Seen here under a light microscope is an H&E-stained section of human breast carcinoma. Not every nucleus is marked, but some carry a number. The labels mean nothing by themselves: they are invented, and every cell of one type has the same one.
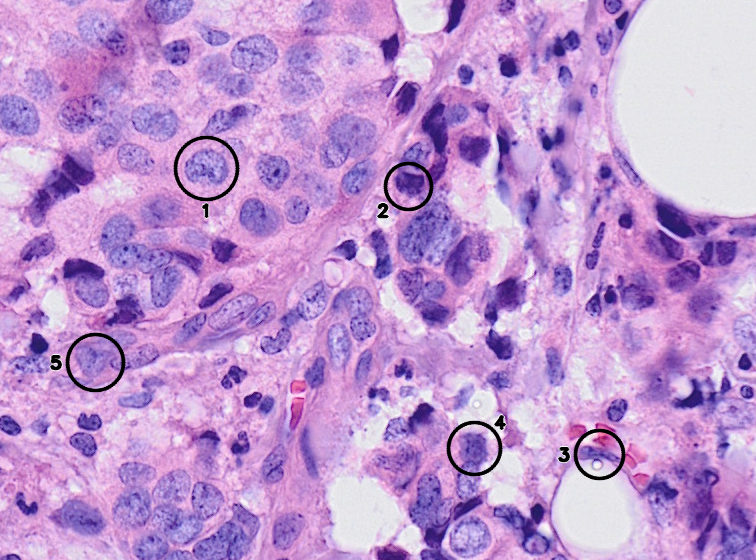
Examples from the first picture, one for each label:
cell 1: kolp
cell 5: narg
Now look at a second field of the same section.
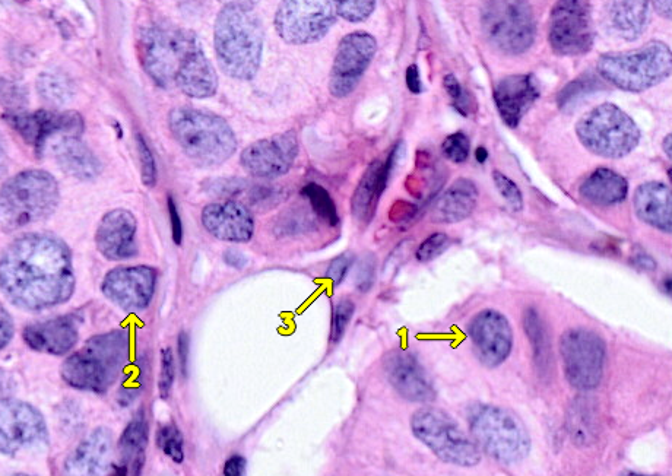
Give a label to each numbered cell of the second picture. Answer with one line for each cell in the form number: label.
1: kolp
2: kolp
3: narg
